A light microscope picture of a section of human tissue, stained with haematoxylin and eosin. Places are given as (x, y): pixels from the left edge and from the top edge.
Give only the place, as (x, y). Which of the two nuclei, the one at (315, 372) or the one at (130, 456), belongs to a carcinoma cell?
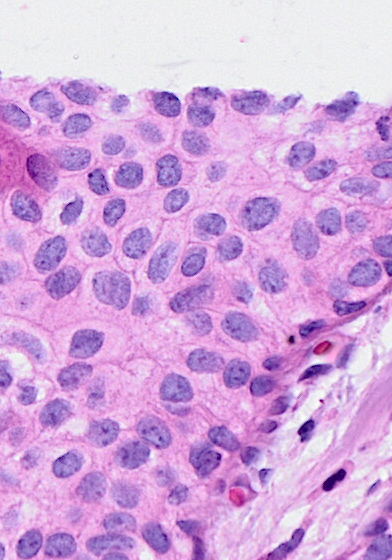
(130, 456)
